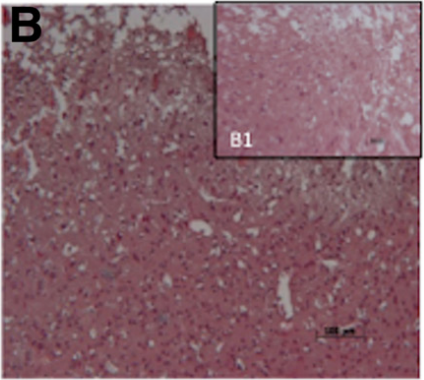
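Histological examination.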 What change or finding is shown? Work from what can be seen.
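Brain tissue injury. The pink tissue is riddled with many small clear spaces. The tissue near the surface is loose and frayed.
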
